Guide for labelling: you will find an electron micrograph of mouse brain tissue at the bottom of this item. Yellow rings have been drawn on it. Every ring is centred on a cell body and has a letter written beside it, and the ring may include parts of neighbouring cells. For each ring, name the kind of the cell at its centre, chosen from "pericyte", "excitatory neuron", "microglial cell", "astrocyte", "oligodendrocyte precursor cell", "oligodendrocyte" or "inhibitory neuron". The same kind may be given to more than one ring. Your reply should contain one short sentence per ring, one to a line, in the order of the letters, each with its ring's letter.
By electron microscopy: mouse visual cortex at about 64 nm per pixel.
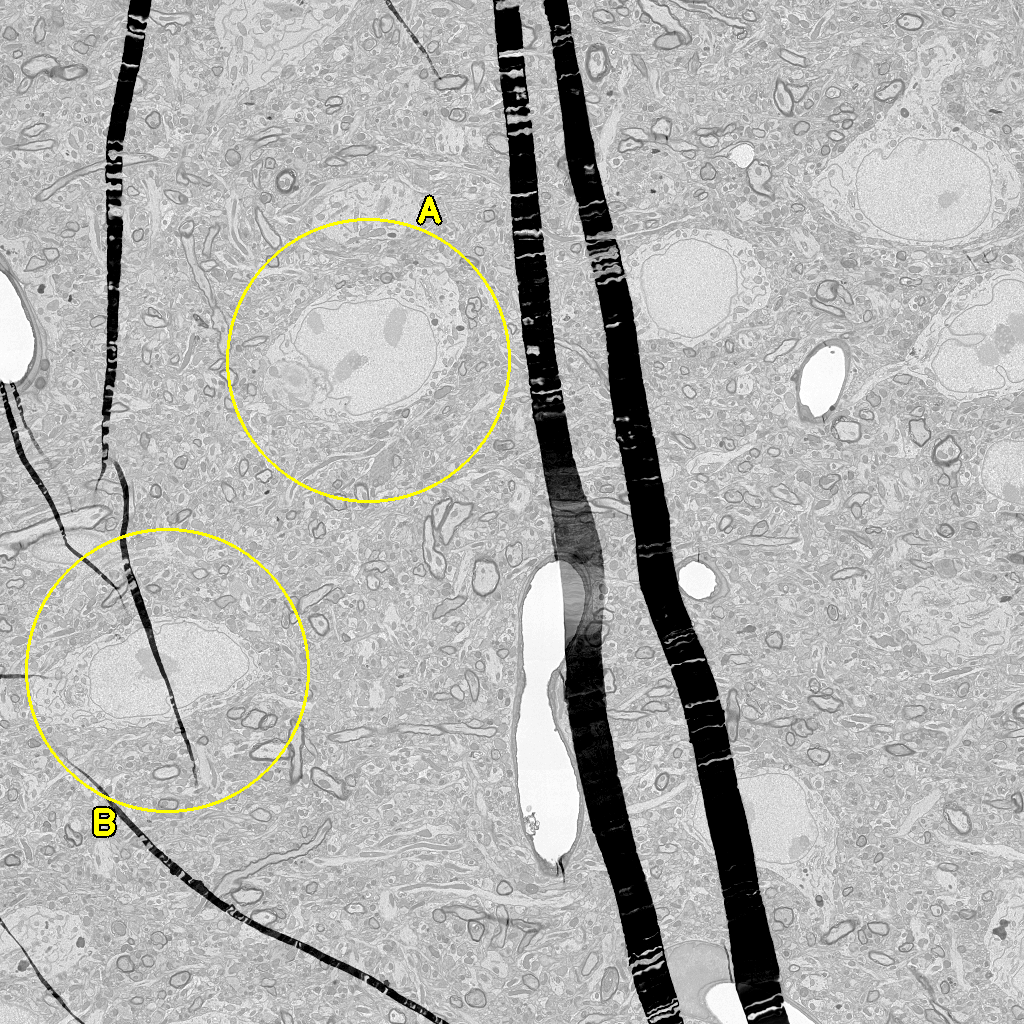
Ring A is centred on the body of an excitatory neuron.
Ring B is centred on the body of an inhibitory neuron.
